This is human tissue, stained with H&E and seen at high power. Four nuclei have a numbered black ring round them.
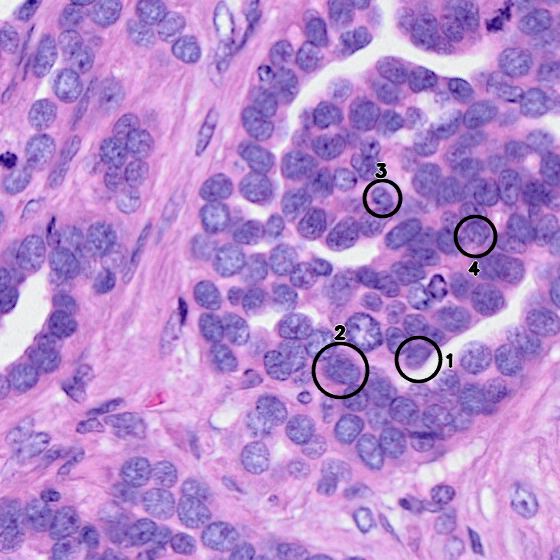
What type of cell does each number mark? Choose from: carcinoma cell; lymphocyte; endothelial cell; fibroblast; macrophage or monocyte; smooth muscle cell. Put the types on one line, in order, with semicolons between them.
carcinoma cell; carcinoma cell; macrophage or monocyte; carcinoma cell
